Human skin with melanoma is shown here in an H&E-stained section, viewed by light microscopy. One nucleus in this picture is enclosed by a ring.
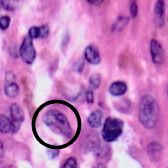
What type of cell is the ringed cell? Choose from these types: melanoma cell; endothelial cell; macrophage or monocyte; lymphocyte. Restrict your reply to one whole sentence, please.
In this tissue section, the ringed cell is to be classed as a macrophage or monocyte.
